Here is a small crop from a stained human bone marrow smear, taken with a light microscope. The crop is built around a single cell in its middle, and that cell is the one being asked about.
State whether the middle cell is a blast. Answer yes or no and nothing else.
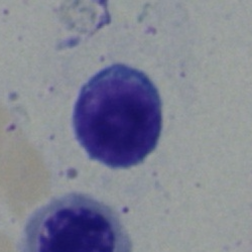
no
